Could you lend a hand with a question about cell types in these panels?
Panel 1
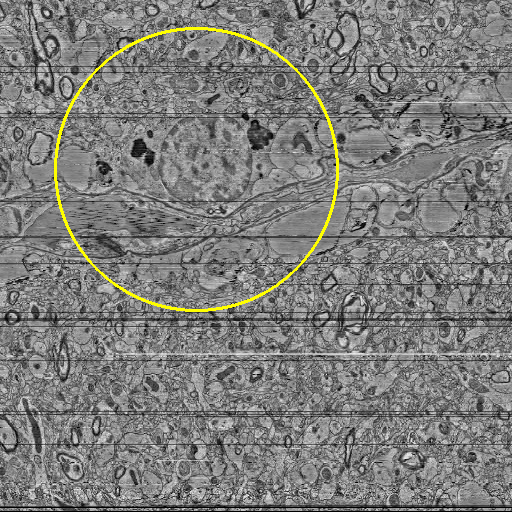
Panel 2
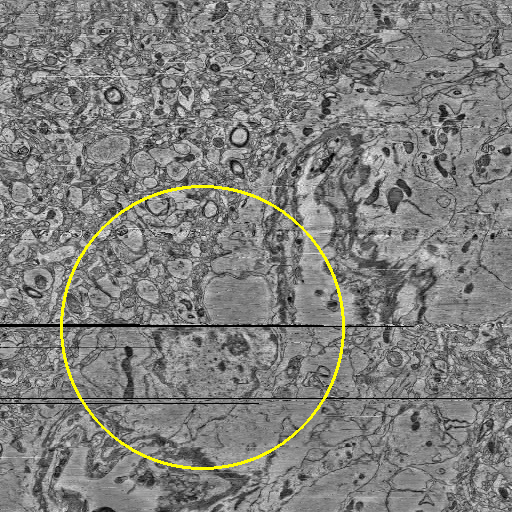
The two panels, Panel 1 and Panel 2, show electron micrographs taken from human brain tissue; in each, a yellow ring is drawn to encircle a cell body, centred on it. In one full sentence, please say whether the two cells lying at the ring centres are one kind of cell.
No, the cells at the ring centres in the two panels are two kinds of cell.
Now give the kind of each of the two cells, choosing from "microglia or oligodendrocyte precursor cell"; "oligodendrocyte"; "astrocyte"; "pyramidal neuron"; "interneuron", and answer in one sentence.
The cell in the first picture is an oligodendrocyte, and the cell in the second is a microglial cell or oligodendrocyte precursor cell.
